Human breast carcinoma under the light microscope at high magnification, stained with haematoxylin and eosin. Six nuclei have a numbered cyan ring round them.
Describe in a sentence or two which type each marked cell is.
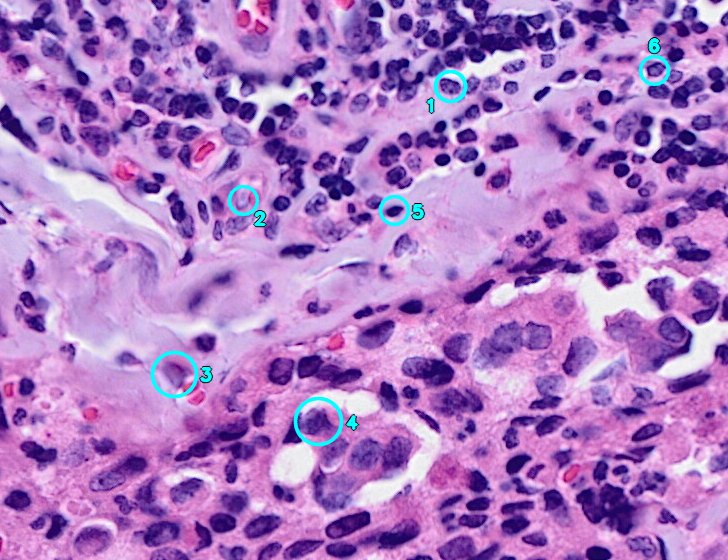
Cell 1 is a lymphocyte, cell 2 is an endothelial cell, cell 3 is an endothelial cell, cell 4 is a carcinoma cell, cell 5 is a lymphocyte and cell 6 is a lymphocyte.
